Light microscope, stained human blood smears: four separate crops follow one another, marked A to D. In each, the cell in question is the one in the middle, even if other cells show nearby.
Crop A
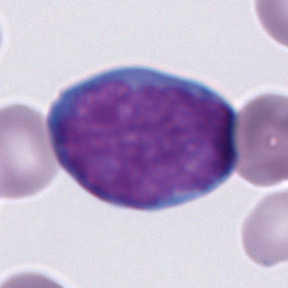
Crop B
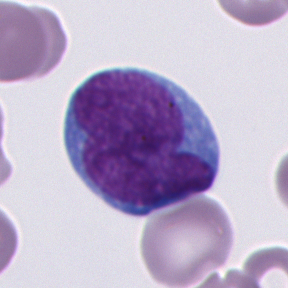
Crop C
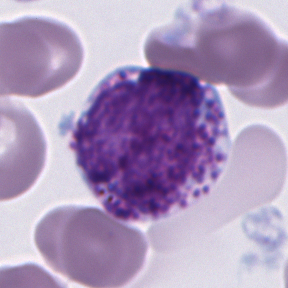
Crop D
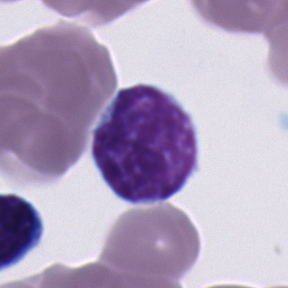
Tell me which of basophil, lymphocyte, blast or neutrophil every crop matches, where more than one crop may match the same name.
A: blast
B: blast
C: basophil
D: lymphocyte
